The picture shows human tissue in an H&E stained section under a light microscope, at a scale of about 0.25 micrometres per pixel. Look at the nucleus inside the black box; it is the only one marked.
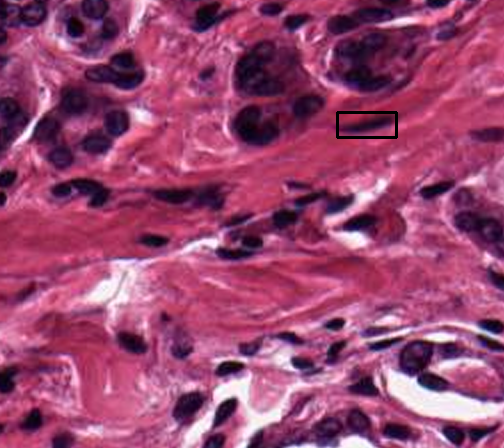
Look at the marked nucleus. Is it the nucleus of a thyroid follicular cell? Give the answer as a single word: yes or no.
no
